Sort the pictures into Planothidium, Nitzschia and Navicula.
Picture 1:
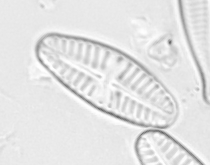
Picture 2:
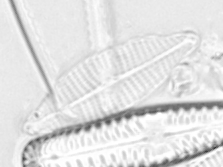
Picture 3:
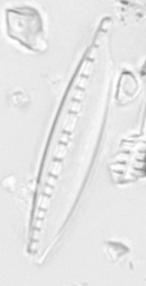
Planothidium: 1
Navicula: 2
Nitzschia: 3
